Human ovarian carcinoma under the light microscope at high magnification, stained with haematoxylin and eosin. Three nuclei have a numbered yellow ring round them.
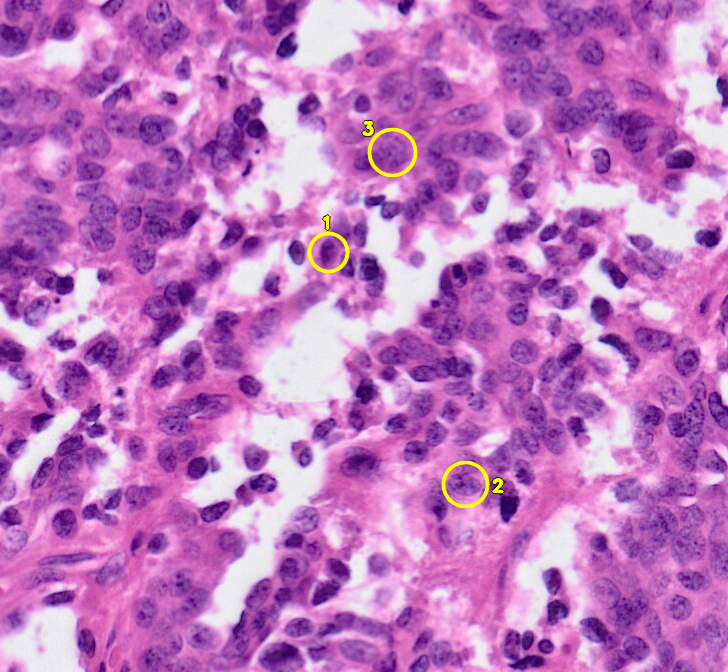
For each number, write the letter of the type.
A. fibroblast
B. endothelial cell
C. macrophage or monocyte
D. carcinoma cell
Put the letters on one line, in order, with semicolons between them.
D; C; D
